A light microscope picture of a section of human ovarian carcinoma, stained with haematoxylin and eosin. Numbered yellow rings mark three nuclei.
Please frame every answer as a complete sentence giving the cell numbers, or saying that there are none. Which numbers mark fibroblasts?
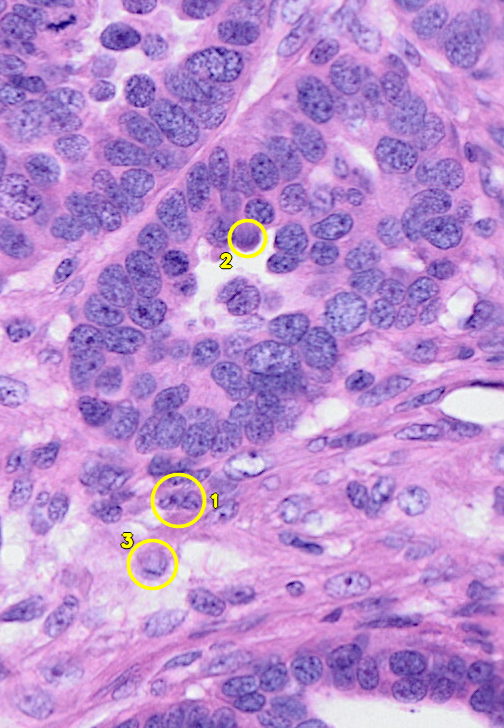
Among the numbered cells, a fibroblast occurs only once, as cell 3.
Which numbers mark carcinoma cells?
Cell 2 is the one numbered cell that is a carcinoma cell.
